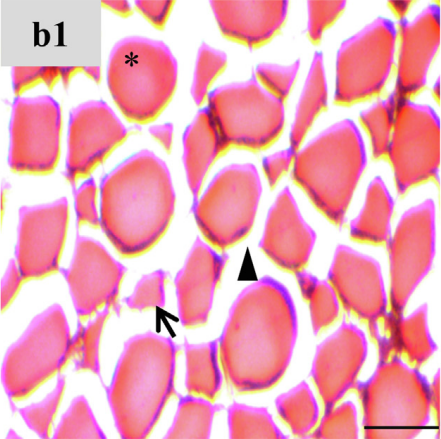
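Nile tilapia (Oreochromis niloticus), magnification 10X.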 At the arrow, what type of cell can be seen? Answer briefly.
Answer: Hyperplastic muscle fiber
